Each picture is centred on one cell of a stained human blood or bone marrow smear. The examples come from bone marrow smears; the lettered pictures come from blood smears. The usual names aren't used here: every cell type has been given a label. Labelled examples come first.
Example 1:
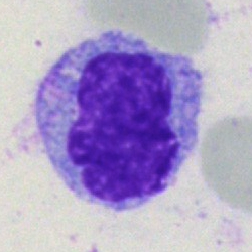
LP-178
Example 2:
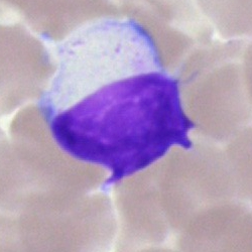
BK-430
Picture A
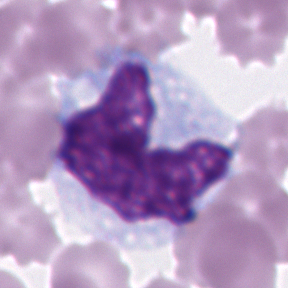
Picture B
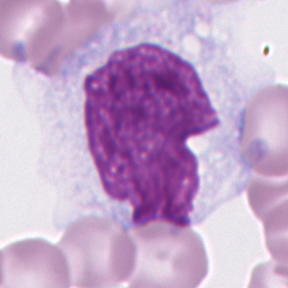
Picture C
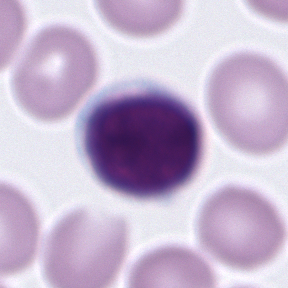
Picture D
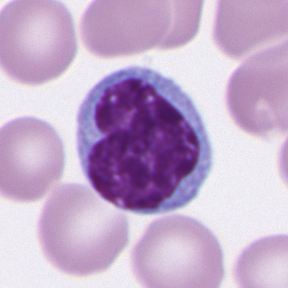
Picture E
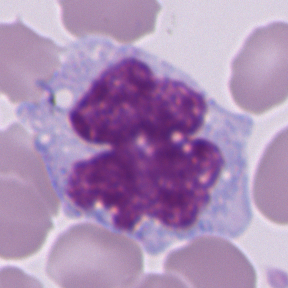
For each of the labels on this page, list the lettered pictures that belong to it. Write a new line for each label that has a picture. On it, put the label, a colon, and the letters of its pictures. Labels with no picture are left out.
LP-178: A, B, E
BK-430: C, D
